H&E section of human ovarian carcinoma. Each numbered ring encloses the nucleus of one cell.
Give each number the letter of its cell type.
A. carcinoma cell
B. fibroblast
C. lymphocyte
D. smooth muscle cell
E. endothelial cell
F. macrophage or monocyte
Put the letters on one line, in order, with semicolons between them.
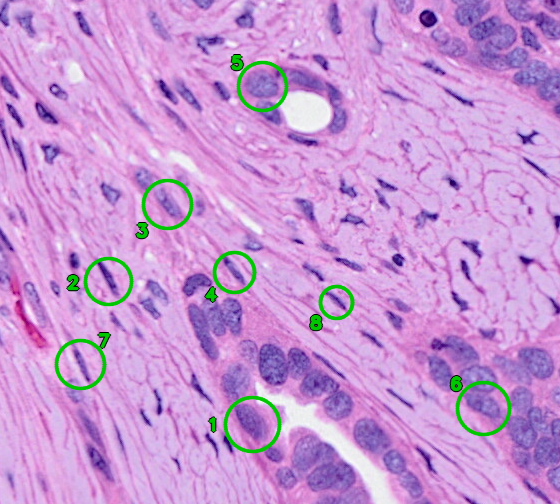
A; B; B; B; A; A; B; B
